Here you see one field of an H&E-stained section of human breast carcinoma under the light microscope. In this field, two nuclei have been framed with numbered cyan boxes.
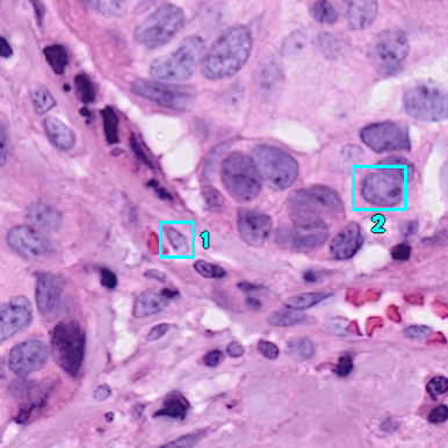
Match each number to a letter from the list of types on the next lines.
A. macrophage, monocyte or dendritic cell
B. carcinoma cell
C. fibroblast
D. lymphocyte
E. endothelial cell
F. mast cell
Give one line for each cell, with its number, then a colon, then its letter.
1: E
2: B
